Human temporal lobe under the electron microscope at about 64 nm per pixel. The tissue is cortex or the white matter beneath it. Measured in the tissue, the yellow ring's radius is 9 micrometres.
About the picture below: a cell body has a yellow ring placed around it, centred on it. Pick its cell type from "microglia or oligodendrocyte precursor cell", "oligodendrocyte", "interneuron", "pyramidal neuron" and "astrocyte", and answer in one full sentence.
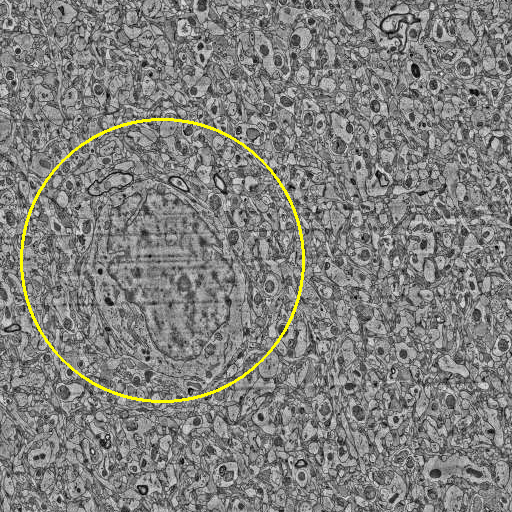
In the picture, an interneuron is the cell sitting at the centre of the yellow ring.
